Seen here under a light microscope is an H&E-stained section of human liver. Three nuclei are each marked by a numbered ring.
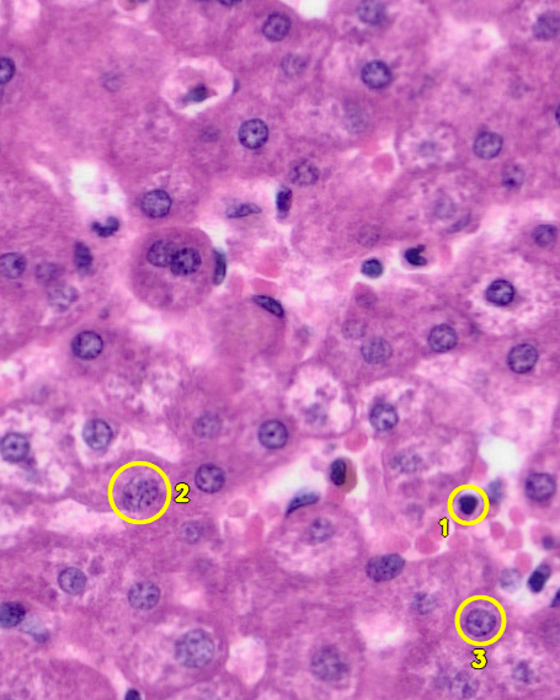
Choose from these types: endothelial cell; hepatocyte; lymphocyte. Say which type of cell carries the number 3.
hepatocyte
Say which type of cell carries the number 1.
lymphocyte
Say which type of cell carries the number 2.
hepatocyte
